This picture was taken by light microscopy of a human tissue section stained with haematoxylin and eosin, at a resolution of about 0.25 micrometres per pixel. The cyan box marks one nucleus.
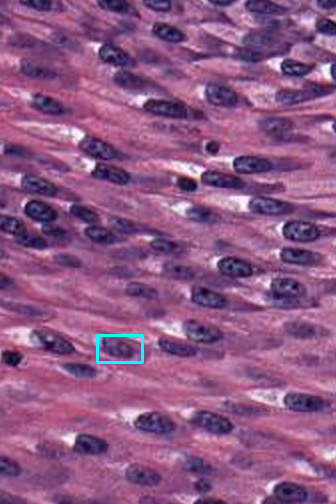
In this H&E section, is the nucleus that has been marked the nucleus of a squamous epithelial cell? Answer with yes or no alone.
yes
